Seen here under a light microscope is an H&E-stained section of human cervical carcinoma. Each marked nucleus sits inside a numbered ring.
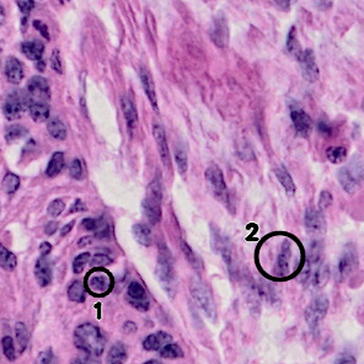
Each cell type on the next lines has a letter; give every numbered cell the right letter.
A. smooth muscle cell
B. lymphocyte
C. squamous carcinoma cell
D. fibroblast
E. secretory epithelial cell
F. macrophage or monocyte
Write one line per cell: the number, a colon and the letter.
1: C
2: D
